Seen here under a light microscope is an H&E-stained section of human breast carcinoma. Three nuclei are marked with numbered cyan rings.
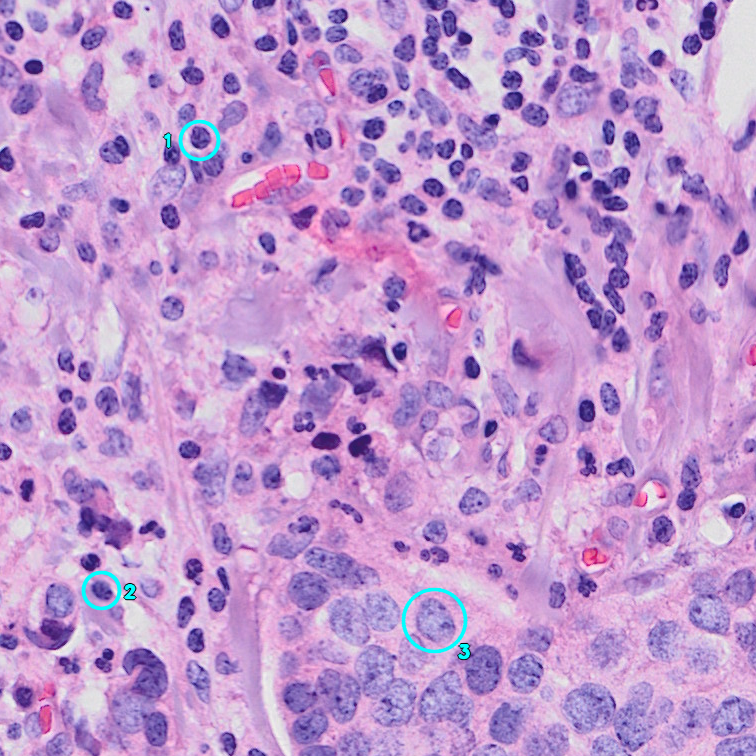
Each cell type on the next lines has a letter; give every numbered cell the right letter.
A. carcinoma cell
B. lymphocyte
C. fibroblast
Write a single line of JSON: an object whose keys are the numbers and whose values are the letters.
{"1": "B", "2": "B", "3": "A"}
